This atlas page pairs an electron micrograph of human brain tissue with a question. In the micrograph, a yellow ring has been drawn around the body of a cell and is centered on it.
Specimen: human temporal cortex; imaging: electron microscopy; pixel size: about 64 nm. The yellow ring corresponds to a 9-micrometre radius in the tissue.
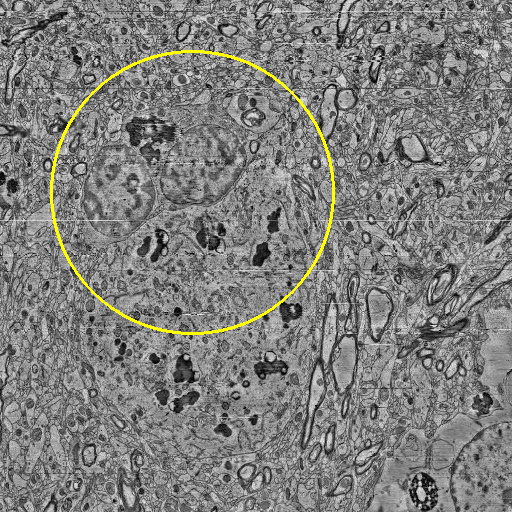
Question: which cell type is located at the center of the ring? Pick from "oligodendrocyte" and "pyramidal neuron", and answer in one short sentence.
Located at the center of the ring is an oligodendrocyte.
